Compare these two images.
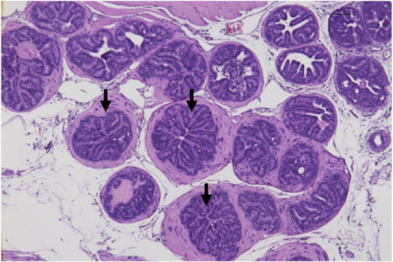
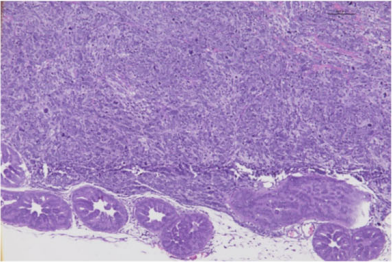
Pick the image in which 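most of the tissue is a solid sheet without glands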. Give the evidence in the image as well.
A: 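First image: the tissue consists of separate rounded glands set in loose stroma. Second image: a large solid mass with no gland lumens occupies most of the field. So: the second image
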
